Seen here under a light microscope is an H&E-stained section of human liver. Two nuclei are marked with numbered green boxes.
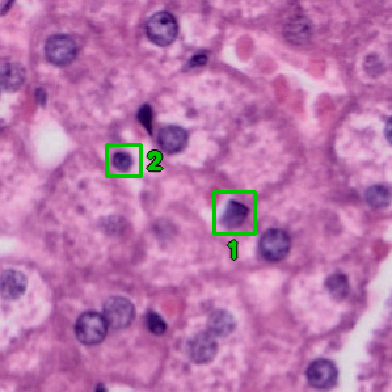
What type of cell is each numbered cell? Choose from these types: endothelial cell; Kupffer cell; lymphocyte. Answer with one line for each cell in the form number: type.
1: endothelial cell
2: lymphocyte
